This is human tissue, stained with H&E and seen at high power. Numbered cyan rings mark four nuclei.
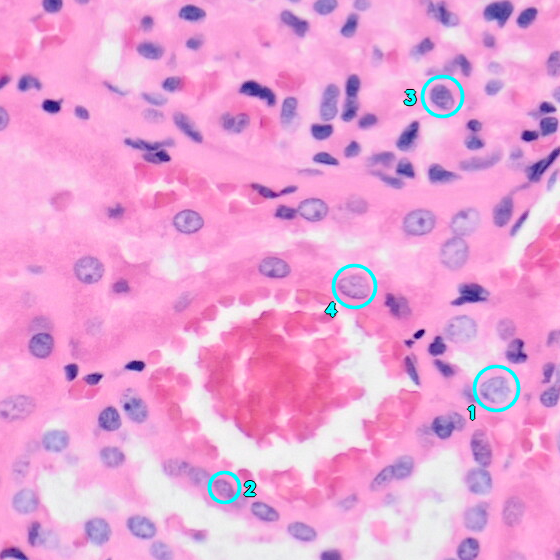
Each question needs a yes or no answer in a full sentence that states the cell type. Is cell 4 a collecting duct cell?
No, the cell with number 4 is not a collecting duct cell but a proximal tubule cell.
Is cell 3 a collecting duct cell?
No, number 3 identifies an endothelial cell, not a collecting duct cell.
